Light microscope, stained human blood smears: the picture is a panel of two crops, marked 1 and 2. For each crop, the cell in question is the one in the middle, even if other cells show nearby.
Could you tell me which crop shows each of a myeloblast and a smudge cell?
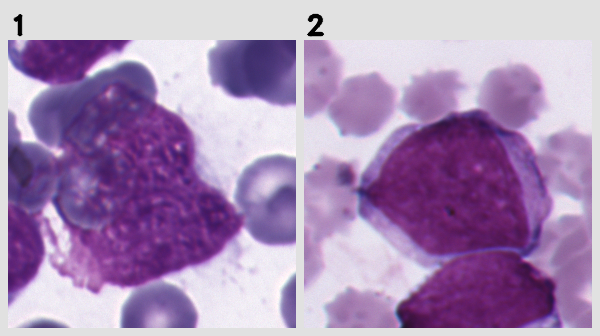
1: smudge cell
2: myeloblast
